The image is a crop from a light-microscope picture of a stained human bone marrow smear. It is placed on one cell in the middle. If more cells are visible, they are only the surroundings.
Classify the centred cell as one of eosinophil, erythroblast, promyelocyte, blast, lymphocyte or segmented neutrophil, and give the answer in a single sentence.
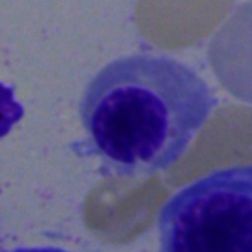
The centrally located cell in the crop is an erythroblast.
